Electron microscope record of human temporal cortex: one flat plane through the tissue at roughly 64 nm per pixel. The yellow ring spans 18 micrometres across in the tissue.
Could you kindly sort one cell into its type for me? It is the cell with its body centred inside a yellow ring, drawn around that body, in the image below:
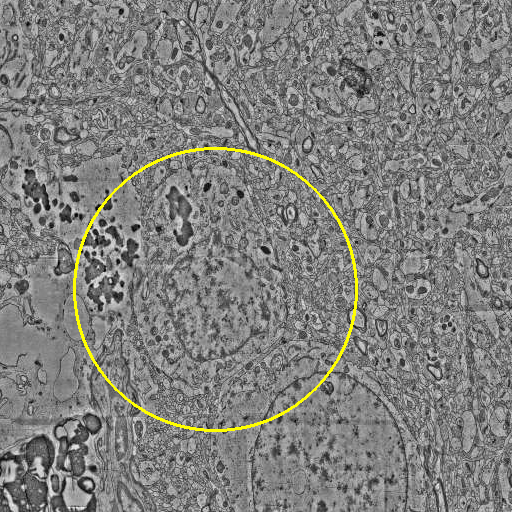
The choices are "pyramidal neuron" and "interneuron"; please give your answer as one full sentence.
The cell whose body lies centred in the yellow ring here is an interneuron.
